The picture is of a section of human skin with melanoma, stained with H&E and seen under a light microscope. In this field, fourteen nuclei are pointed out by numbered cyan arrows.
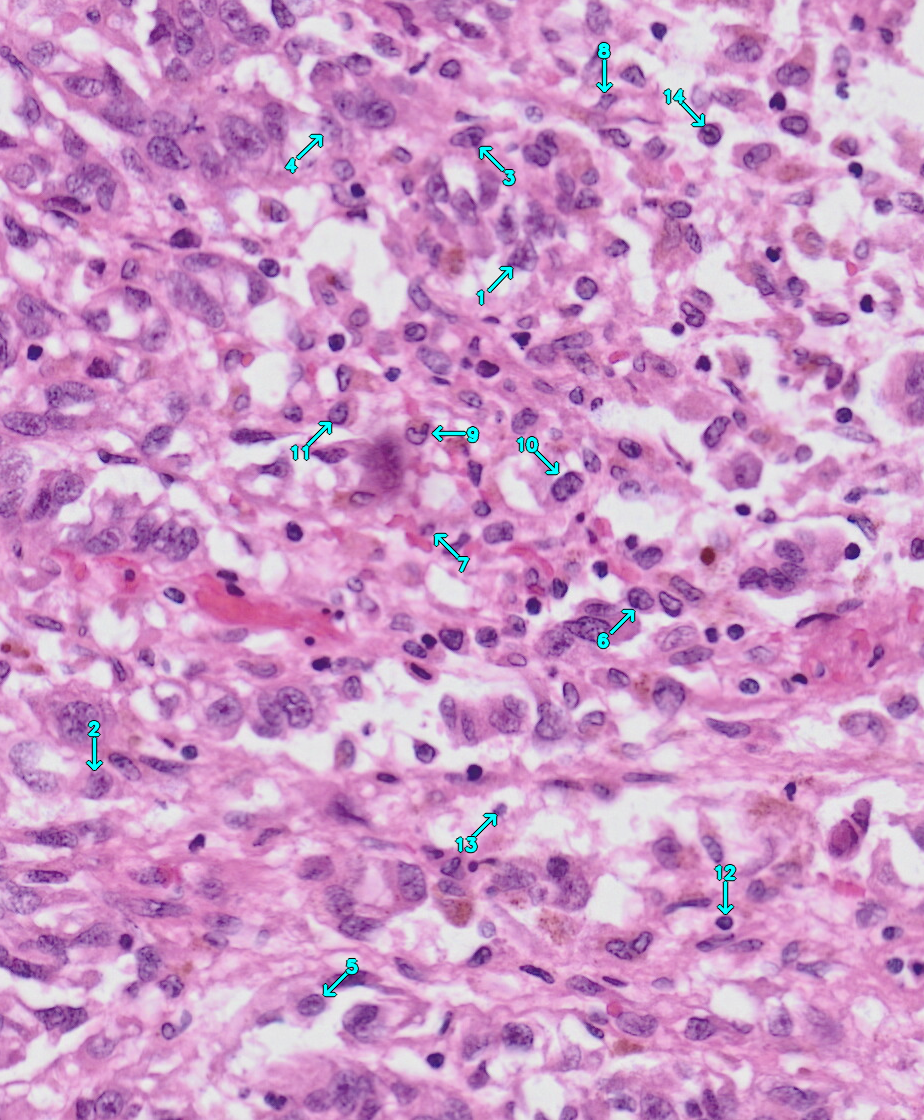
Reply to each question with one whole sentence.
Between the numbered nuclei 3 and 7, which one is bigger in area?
Nucleus 3 covers more area, about 2.5 times as much as nucleus 7.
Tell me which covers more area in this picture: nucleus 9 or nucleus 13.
At about 3 times the area of nucleus 13, nucleus 9 is the larger of the two.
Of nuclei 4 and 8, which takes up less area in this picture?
Number 8 is smaller, since number 4 takes up about 2 times as much area.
